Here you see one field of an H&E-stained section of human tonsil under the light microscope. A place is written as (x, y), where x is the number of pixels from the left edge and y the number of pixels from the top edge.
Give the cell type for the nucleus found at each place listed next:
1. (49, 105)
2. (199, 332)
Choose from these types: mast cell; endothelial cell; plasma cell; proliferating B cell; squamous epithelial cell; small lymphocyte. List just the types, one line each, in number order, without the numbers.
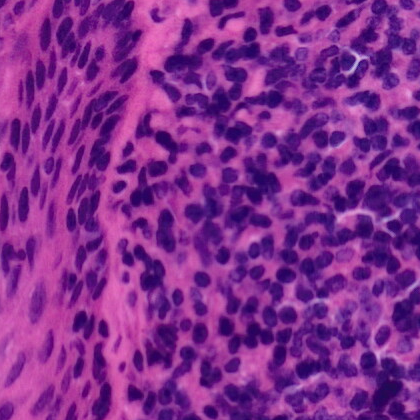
squamous epithelial cell
plasma cell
